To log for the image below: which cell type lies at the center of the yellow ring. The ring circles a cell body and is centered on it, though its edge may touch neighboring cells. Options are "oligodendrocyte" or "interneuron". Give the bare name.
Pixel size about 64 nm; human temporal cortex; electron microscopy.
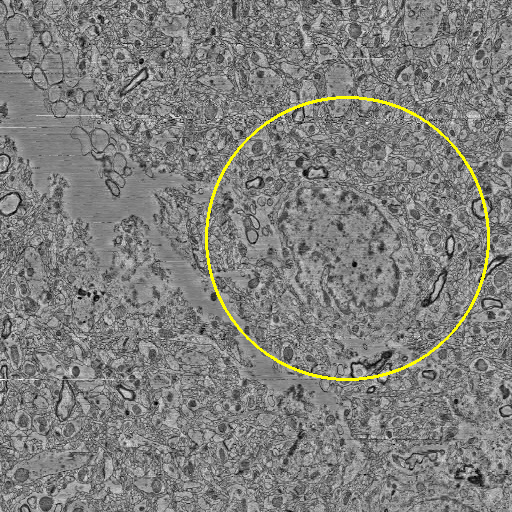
interneuron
